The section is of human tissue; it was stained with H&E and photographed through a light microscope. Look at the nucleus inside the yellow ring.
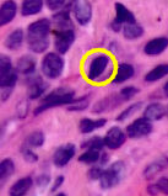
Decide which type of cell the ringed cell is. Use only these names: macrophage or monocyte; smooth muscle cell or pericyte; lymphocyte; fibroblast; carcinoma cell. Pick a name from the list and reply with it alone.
lymphocyte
